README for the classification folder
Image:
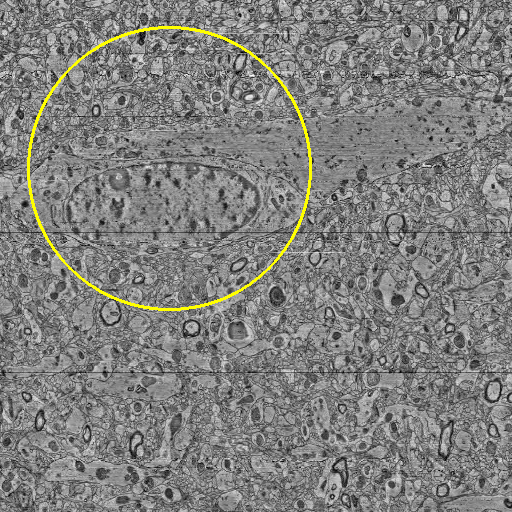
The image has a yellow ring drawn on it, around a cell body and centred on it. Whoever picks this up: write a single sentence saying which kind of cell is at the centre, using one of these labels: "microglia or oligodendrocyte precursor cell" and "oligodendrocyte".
This cell body is that of a microglial cell or oligodendrocyte precursor cell.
